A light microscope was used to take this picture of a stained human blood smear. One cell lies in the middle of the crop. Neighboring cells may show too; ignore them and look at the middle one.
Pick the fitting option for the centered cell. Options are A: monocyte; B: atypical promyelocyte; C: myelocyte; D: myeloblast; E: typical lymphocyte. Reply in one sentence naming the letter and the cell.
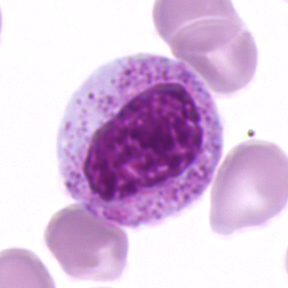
For this crop, option C is right, the centered cell being a myelocyte.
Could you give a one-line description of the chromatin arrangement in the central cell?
The nucleus shows chromatin that is coarsely clumped.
